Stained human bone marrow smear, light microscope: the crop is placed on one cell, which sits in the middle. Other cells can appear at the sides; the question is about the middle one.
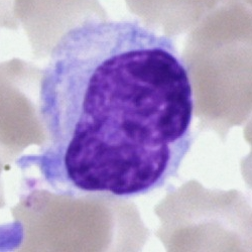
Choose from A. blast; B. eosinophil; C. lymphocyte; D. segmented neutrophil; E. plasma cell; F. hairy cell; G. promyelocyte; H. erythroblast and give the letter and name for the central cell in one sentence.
The cell at the centre, correctly named in option F, is a hairy cell.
